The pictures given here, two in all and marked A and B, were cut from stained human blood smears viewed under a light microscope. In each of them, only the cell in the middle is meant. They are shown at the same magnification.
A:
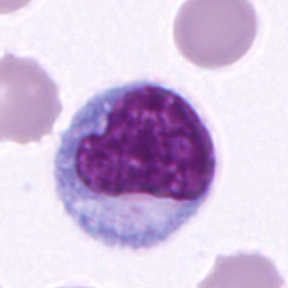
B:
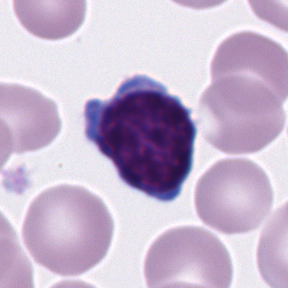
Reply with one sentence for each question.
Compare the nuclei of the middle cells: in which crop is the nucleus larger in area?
Picture A shows the larger nucleus; it covers about 1.5 times the area of the nucleus in picture B.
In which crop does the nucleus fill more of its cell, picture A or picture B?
It is the cell in picture B that is filled more by its nucleus.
